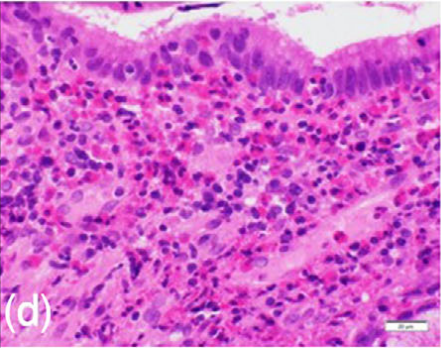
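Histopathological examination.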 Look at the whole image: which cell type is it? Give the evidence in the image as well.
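Many cells in the stroma have bright pink-red granular cytoplasm. Several of these cells have dark lobed nuclei. These cells are densely gathered beneath the surface epithelium.
Eosinophils.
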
